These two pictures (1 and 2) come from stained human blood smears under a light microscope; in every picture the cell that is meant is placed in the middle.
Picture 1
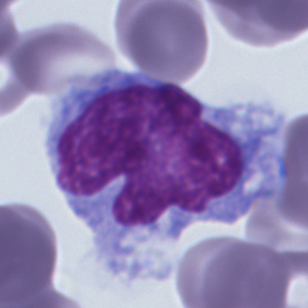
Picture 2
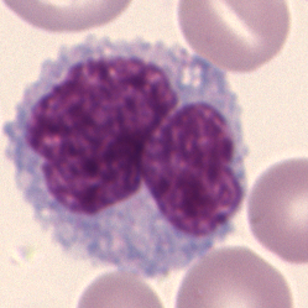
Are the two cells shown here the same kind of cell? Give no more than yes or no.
yes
